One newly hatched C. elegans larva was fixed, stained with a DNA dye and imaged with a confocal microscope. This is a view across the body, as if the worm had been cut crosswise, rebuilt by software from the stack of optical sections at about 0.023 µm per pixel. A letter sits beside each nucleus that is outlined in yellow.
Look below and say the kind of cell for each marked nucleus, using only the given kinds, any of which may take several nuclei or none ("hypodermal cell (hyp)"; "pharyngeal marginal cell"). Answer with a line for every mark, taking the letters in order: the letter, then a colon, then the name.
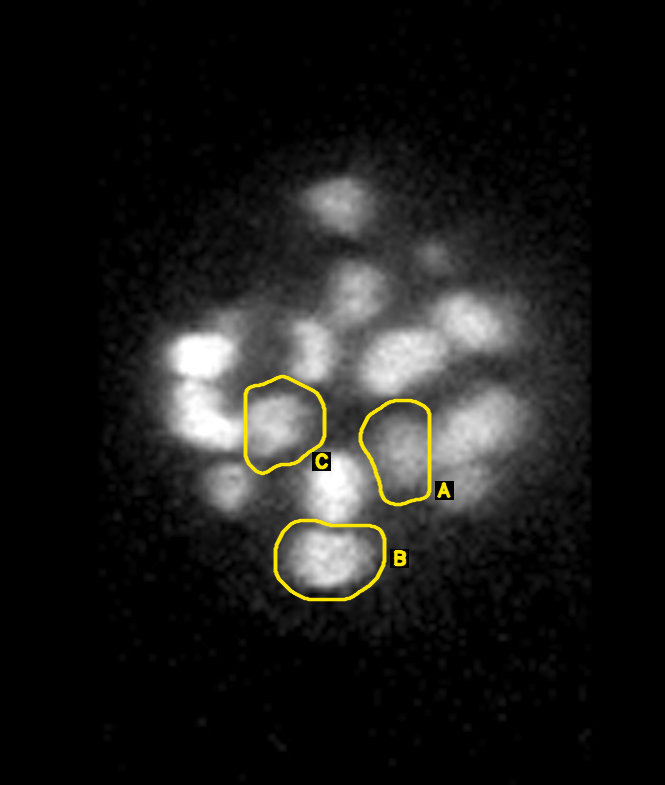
A: pharyngeal marginal cell
B: hypodermal cell (hyp)
C: pharyngeal marginal cell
